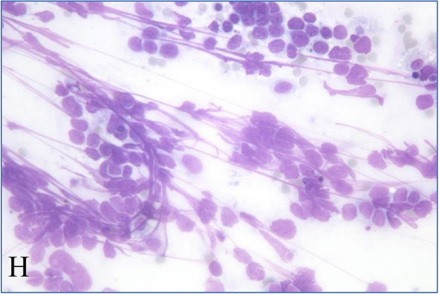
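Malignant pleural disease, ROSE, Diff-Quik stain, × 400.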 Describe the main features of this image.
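The cells lie singly and in loose clusters and rows, with neighboring nuclei pressed against and molded to each other. Long, thin purple strands of smeared nuclear material run across the field.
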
